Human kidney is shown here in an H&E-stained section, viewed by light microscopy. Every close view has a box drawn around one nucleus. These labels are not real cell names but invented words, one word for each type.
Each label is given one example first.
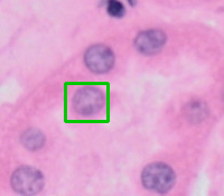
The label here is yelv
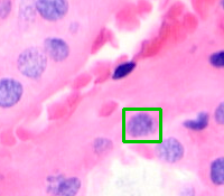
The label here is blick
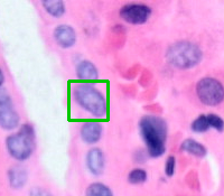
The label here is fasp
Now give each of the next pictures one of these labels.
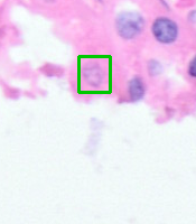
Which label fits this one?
yelv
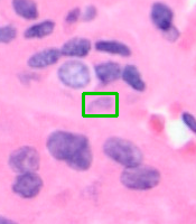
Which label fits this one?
fasp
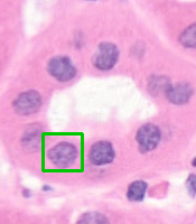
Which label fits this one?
blick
